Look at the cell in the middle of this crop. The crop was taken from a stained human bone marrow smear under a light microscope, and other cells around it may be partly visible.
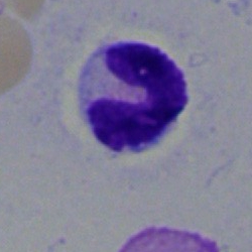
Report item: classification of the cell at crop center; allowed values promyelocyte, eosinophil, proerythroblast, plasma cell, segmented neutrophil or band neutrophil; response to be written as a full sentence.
Looking at the middle of the crop, the cell there is a band neutrophil.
